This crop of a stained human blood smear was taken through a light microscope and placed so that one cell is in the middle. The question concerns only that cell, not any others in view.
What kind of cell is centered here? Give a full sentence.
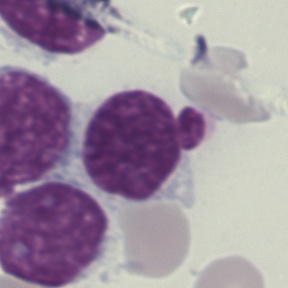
For this crop, the cell in the middle is a myeloblast.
